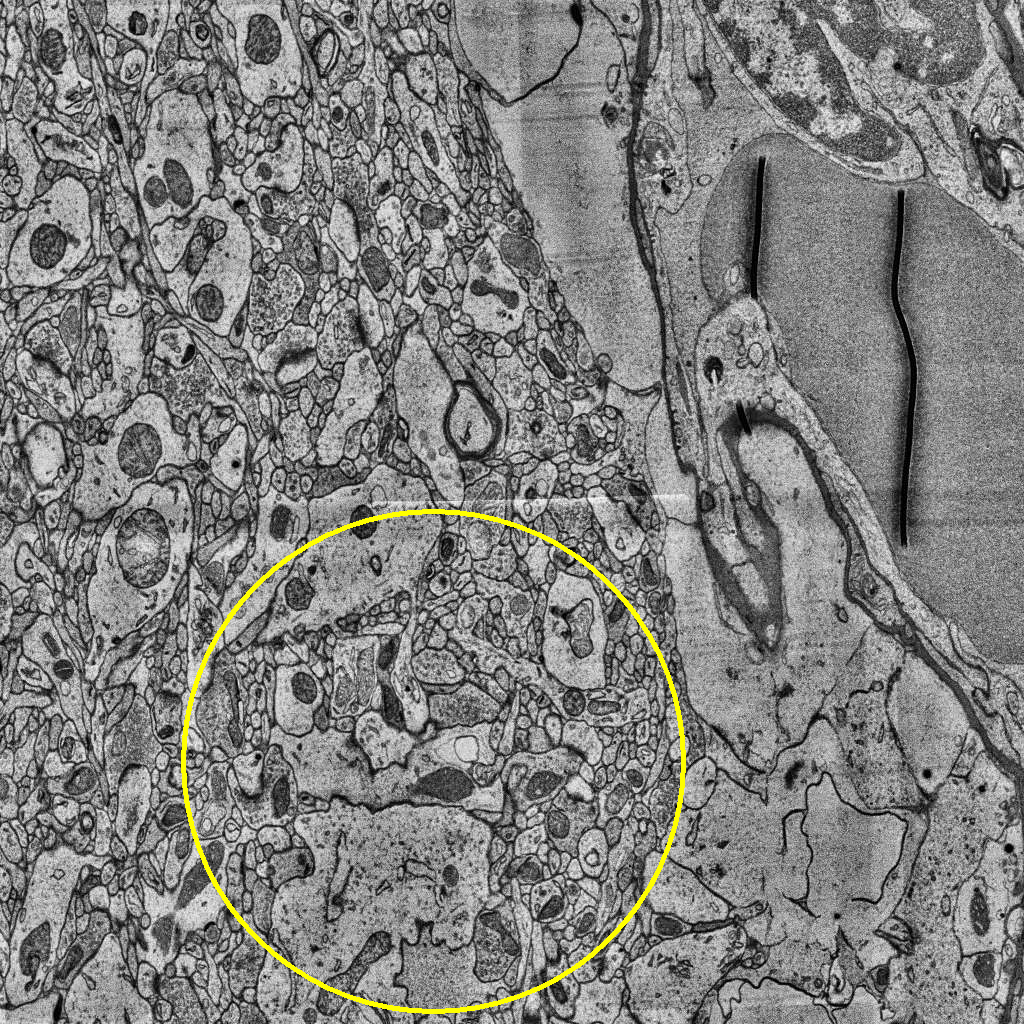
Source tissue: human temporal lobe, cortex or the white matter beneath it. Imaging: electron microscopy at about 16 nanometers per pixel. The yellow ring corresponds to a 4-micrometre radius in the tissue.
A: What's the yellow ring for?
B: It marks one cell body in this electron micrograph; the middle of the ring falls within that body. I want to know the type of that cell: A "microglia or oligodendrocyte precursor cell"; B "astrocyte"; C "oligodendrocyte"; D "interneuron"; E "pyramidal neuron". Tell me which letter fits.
D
